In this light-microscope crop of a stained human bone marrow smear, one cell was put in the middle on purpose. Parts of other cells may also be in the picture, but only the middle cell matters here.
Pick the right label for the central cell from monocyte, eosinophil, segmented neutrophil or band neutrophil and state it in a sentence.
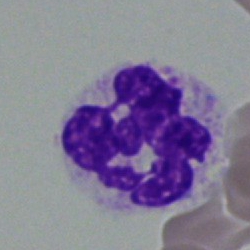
In the middle of this smear crop, the cell is a segmented neutrophil.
